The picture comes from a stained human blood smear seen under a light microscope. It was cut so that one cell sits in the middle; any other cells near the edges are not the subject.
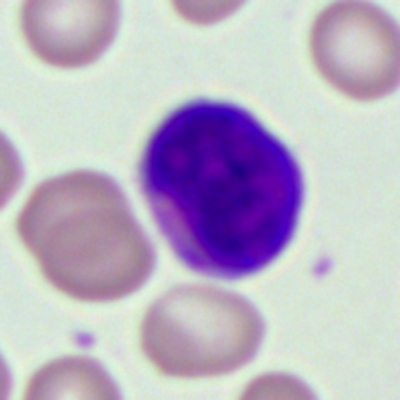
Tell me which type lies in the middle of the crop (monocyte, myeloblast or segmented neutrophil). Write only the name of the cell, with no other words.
myeloblast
